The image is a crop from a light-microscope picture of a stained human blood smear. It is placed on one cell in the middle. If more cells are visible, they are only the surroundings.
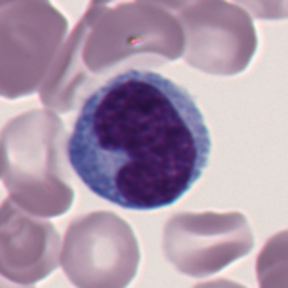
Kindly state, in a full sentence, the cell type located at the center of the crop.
As for the cell in the middle, it is a monocyte.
